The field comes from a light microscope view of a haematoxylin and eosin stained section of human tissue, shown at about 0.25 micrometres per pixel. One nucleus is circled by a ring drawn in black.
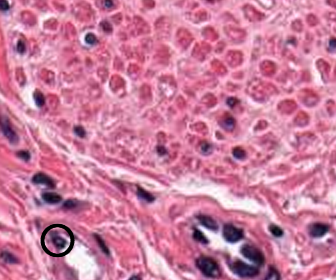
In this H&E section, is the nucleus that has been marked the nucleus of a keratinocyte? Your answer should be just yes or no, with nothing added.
no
